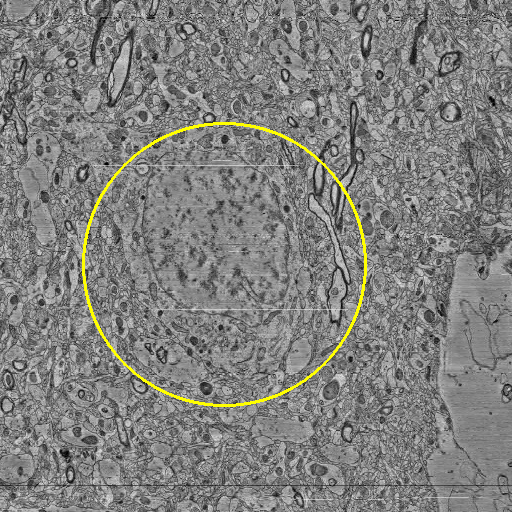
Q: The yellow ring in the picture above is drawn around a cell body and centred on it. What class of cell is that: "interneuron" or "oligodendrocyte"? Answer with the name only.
interneuron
